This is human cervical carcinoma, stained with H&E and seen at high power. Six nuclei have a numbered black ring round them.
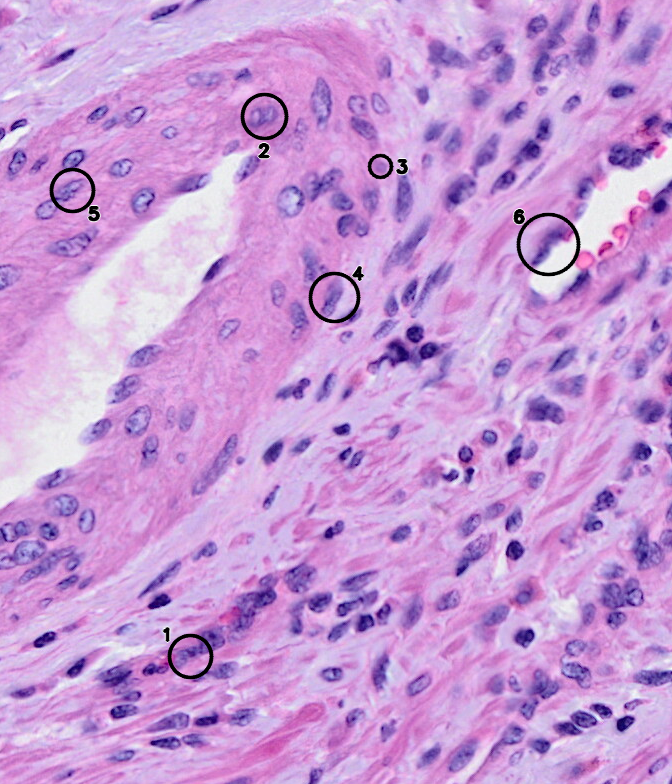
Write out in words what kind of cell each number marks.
Cell 1 is an endothelial cell, cell 2 is a smooth muscle cell, cell 3 is a smooth muscle cell, cell 4 is a smooth muscle cell, cell 5 is a smooth muscle cell and cell 6 is an endothelial cell.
